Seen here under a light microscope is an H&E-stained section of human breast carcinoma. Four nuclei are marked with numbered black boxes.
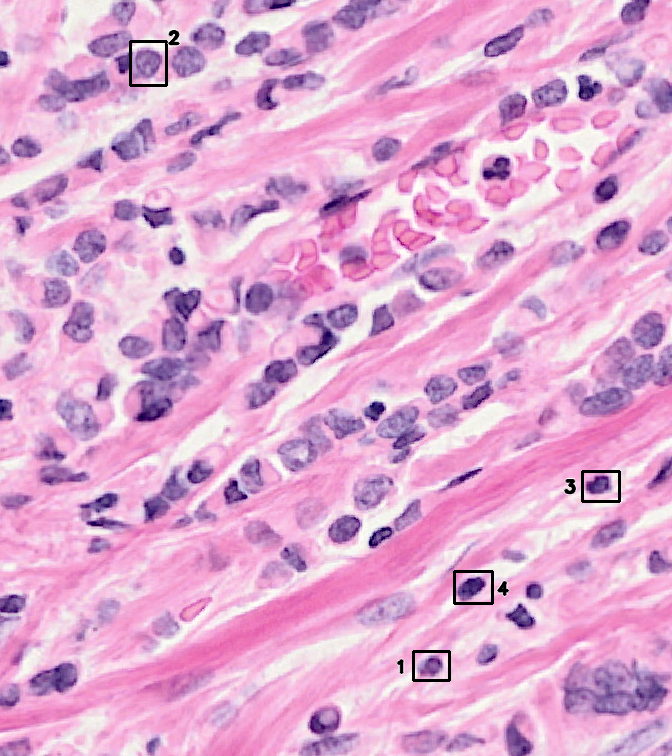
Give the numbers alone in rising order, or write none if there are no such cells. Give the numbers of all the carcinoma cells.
2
